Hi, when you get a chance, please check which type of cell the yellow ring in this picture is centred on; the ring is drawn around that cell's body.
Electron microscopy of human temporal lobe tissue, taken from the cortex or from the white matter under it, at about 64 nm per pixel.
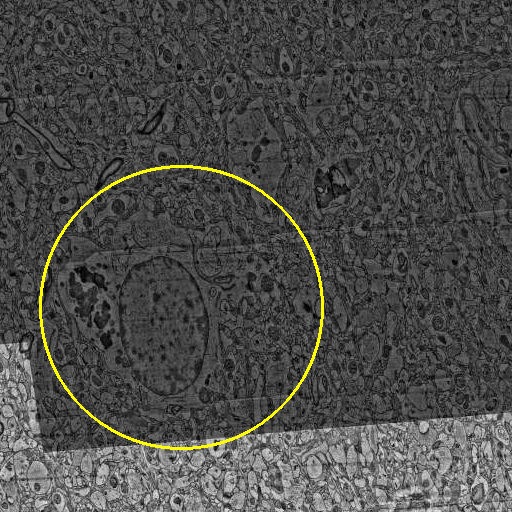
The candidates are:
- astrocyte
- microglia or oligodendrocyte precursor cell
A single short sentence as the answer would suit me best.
The ring is drawn around the body of an astrocyte.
